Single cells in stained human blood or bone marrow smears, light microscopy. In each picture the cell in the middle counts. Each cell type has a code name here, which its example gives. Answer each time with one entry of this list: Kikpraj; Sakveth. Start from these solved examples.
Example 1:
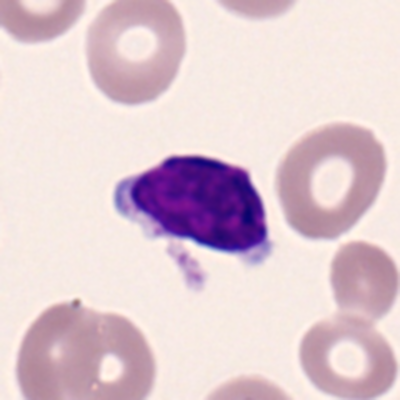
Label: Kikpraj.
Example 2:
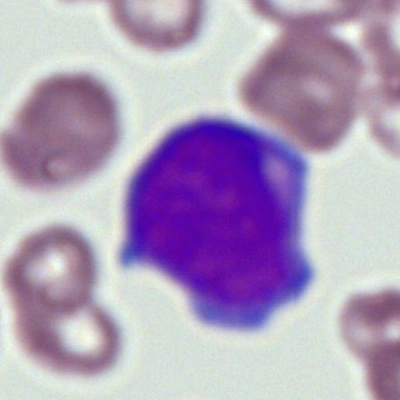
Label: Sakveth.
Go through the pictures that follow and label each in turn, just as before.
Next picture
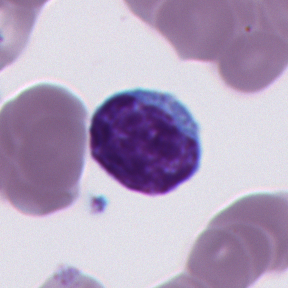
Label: Kikpraj.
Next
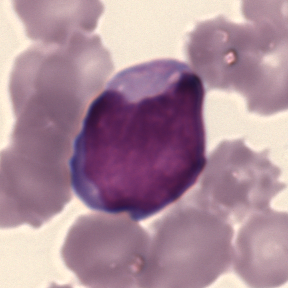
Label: Sakveth.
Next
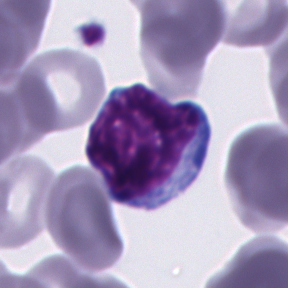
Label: Kikpraj.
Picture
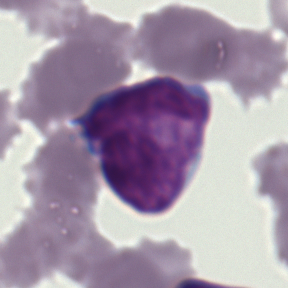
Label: Sakveth.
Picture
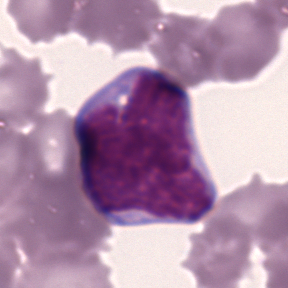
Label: Sakveth.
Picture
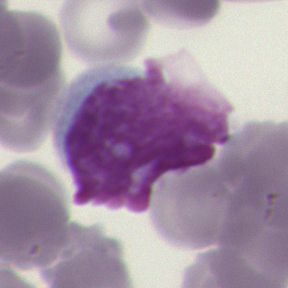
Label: Kikpraj.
